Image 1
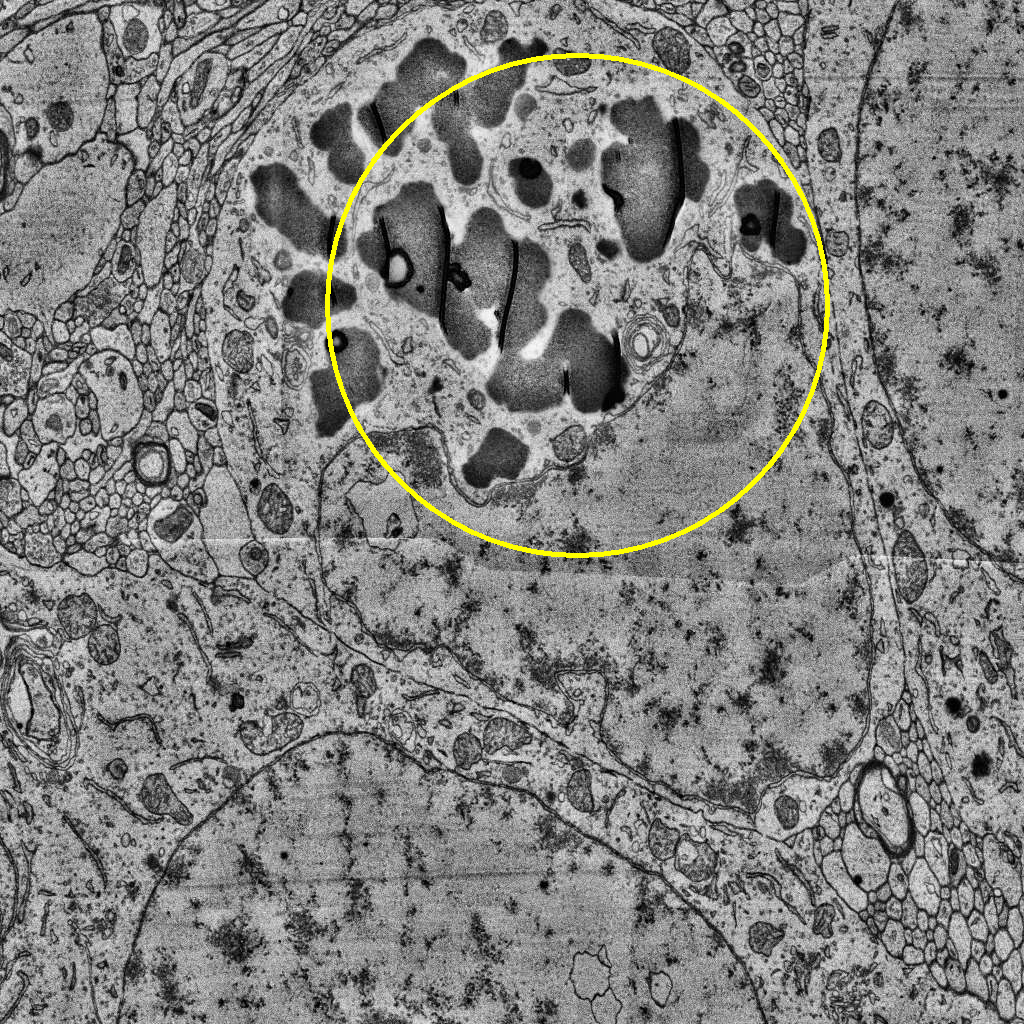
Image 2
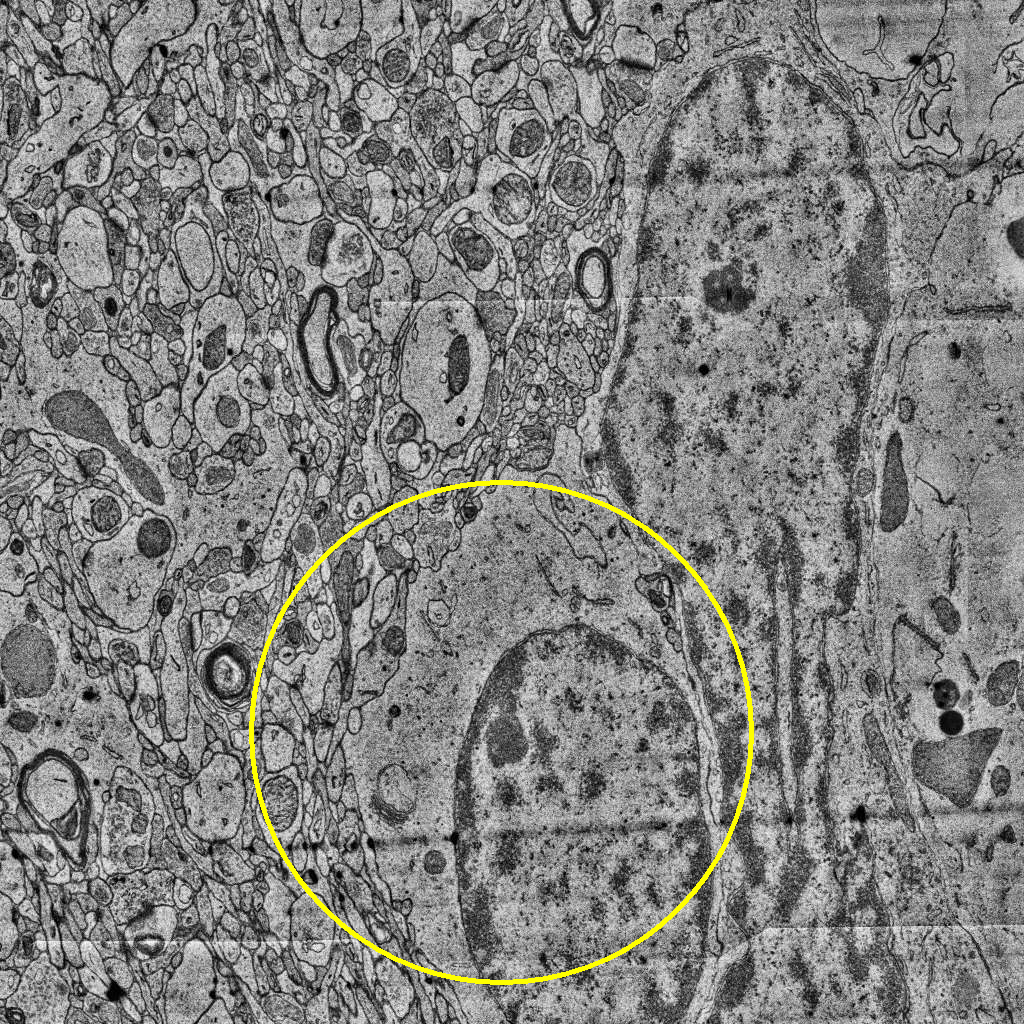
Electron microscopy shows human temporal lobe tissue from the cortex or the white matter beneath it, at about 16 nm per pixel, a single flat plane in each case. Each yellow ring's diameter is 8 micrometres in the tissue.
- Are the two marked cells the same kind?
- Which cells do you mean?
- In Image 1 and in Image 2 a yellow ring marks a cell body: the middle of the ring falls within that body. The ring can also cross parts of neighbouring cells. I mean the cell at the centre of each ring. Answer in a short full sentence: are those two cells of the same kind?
No, the cells are of two kinds.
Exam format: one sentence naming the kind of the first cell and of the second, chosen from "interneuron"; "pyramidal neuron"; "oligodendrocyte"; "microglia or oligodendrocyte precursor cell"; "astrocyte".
The cell at the centre of the second ring is an astrocyte; the first ring's cell is an interneuron.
